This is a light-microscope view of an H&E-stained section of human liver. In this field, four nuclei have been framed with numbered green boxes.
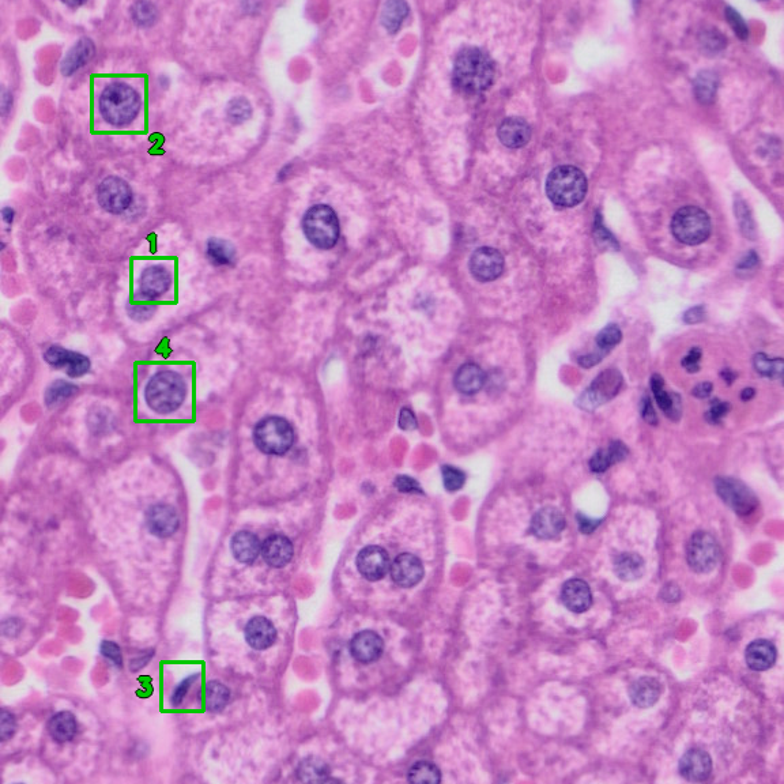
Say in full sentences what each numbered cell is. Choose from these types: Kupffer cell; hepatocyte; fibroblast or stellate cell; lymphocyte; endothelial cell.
Cell 1 is a hepatocyte, cell 2 is a hepatocyte, cell 3 is an endothelial cell and cell 4 is a hepatocyte.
